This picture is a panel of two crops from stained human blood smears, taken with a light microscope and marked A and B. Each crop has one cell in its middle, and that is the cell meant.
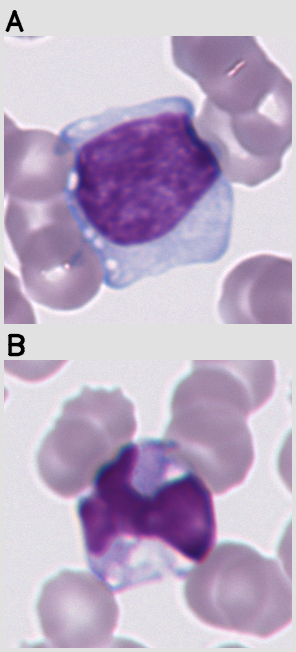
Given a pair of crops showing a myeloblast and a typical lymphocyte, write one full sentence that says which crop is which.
What crop A shows is a myeloblast, and what crop B shows is a typical lymphocyte.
